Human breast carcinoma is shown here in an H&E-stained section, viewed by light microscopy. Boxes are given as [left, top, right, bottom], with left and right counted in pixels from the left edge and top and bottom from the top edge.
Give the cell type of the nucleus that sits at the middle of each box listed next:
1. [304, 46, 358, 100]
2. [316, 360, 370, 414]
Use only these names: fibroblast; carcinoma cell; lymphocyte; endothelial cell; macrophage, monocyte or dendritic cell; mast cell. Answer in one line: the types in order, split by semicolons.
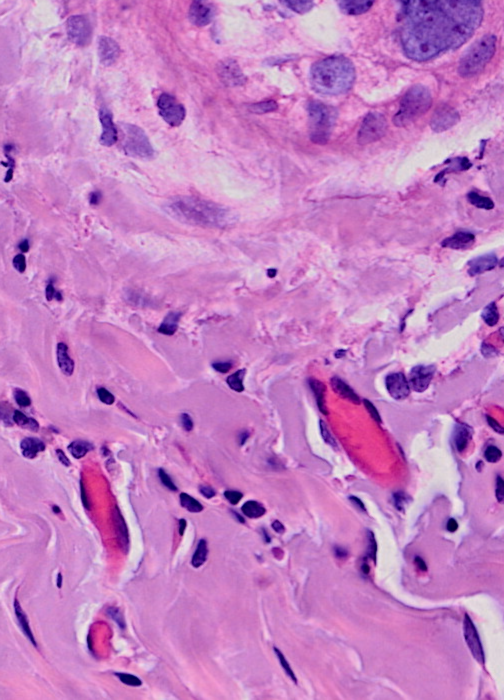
carcinoma cell; endothelial cell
